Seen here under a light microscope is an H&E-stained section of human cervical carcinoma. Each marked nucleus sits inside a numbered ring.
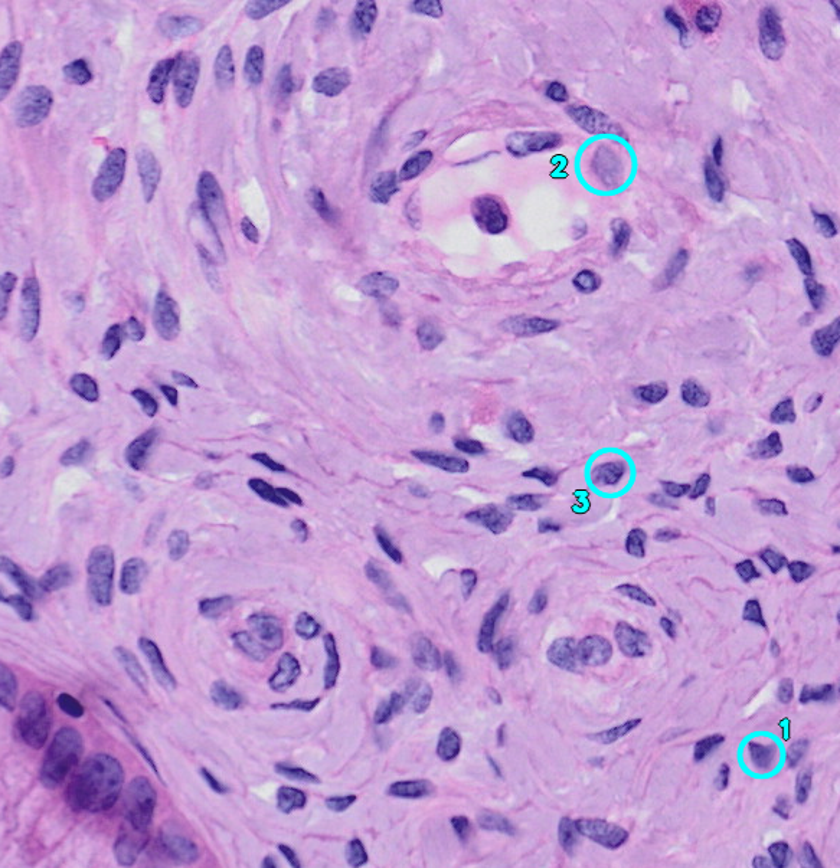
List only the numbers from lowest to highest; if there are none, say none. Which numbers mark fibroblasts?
1, 3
